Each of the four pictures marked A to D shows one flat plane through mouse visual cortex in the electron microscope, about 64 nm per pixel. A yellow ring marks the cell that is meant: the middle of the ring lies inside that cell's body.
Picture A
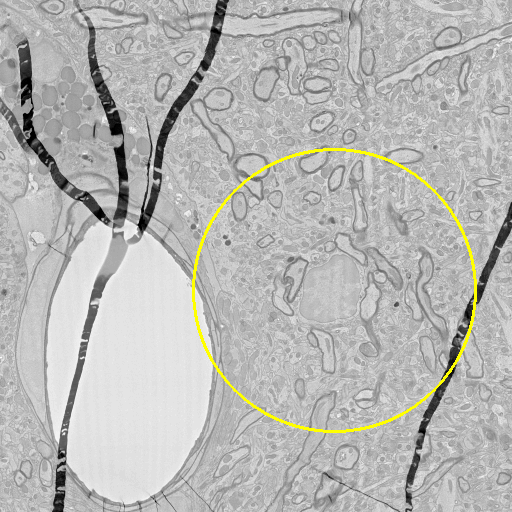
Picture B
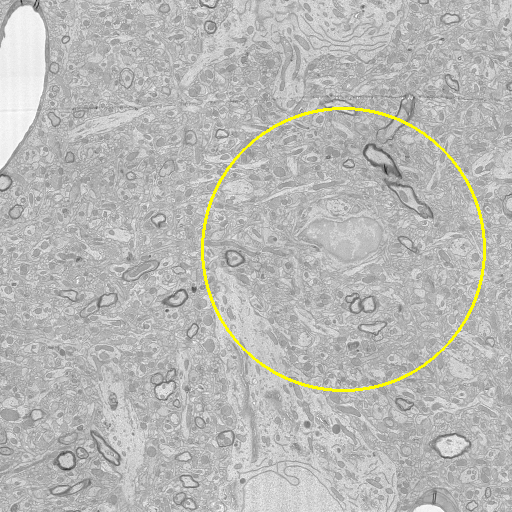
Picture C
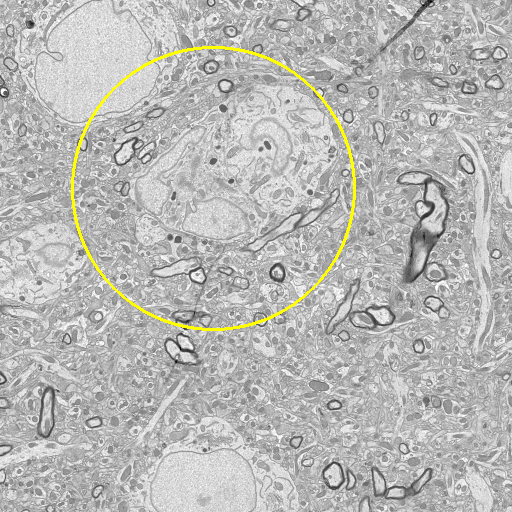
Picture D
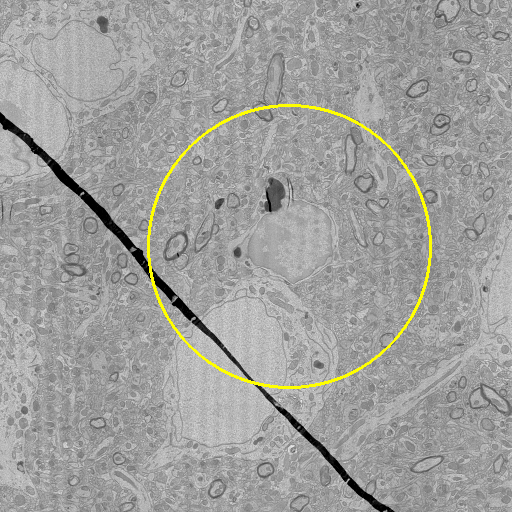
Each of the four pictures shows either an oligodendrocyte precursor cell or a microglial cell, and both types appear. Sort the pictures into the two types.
Picture C shows an oligodendrocyte precursor cell, while pictures A, B and D show microglial cells.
